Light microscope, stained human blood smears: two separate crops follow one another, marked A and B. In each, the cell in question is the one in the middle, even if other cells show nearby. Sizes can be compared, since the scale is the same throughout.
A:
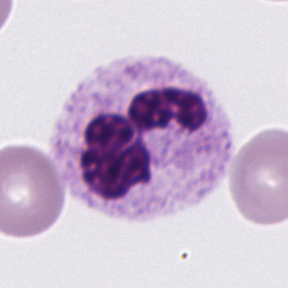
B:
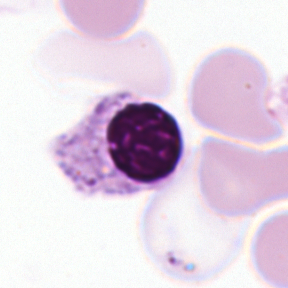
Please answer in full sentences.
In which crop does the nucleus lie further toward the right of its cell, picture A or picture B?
In picture B the nucleus is shifted more toward the right.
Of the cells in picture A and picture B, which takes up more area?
Larger is the cell in picture A, at roughly 2 times the area of the other.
